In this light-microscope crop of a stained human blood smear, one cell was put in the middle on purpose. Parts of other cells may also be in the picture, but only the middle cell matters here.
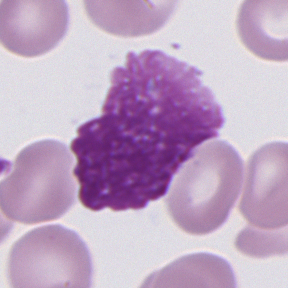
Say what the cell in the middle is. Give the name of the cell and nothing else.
smudge cell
